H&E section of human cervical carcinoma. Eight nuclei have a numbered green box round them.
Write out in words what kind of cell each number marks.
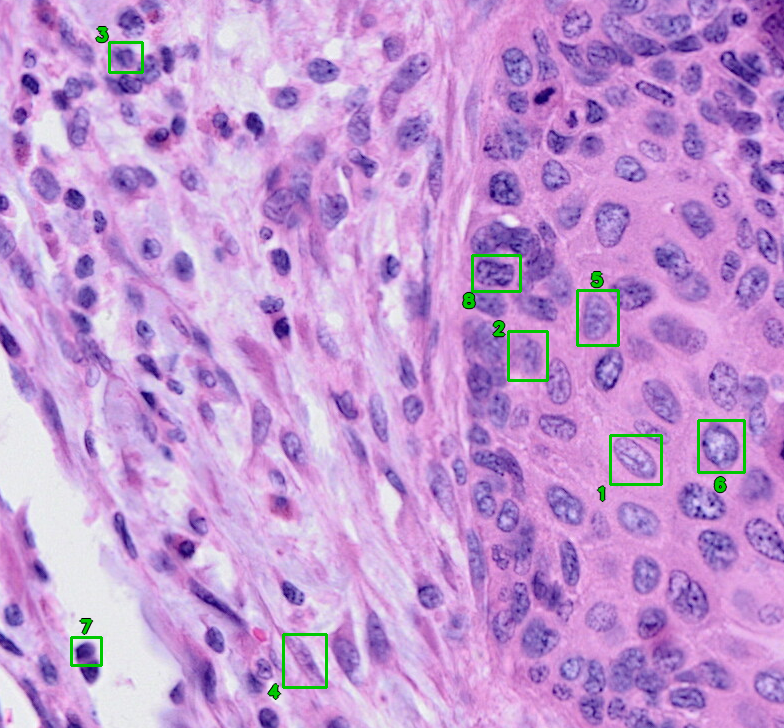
Cell 1 is a squamous carcinoma cell, cell 2 is a squamous carcinoma cell, cell 3 is a lymphocyte, cell 4 is a fibroblast, cell 5 is a squamous carcinoma cell, cell 6 is a squamous carcinoma cell, cell 7 is a lymphocyte and cell 8 is a squamous carcinoma cell.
